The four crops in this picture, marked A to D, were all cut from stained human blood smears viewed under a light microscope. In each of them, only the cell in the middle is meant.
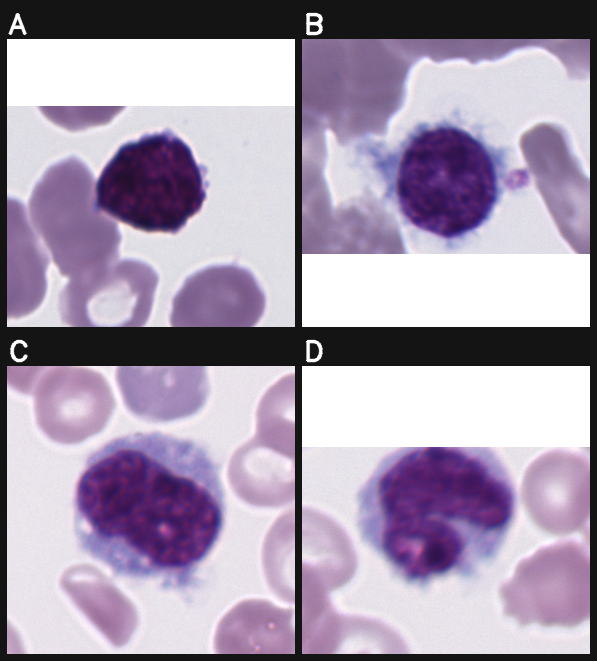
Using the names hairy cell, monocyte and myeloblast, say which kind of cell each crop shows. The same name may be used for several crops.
A: myeloblast
B: hairy cell
C: monocyte
D: monocyte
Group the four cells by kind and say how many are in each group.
monocyte: 2
myeloblast: 1
hairy cell: 1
